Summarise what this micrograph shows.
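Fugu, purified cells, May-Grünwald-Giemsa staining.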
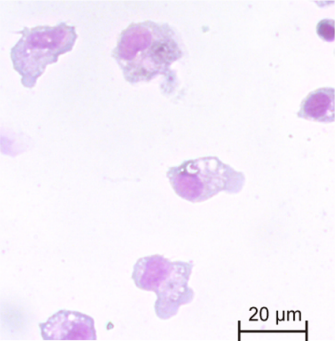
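The cells are large, several times the size of a lymphocyte, and their outlines are irregular, with ruffled or pointed edges. The cytoplasm is abundant and pale violet, and in several cells it holds clear, round vacuoles of various sizes, giving a foamy look. The nuclei stain a deeper purple and take up only part of the cell, often lying off-centre. The cells lie singly and well apart, and at the edge of the field a few smaller, darker round cells can be seen.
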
